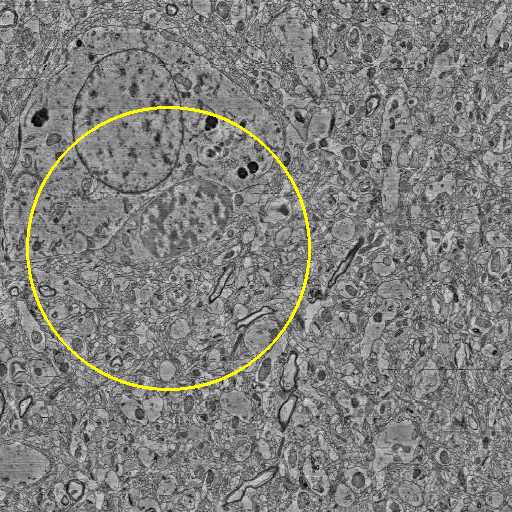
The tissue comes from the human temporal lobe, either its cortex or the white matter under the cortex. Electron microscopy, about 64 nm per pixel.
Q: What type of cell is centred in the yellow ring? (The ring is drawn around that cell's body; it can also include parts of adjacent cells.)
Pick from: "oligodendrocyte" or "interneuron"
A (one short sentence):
The yellow ring is centred on an oligodendrocyte.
